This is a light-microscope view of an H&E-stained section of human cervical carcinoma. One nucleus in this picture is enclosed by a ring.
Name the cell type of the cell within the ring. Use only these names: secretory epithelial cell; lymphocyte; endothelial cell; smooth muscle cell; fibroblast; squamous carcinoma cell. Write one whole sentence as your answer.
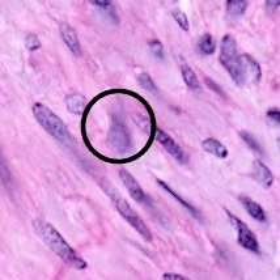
This is a smooth muscle cell.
